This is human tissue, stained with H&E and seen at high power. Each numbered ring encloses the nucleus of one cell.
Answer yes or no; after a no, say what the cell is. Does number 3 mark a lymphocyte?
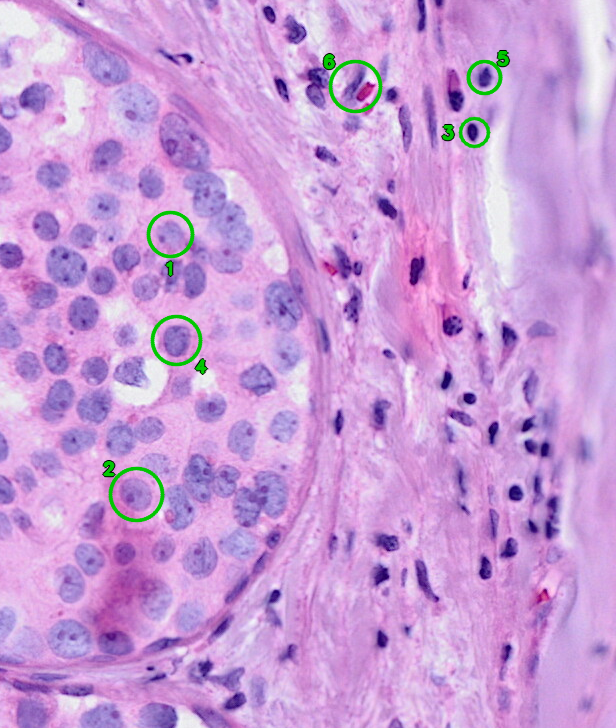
Yes.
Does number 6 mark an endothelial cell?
Yes.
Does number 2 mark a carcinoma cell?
Yes.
